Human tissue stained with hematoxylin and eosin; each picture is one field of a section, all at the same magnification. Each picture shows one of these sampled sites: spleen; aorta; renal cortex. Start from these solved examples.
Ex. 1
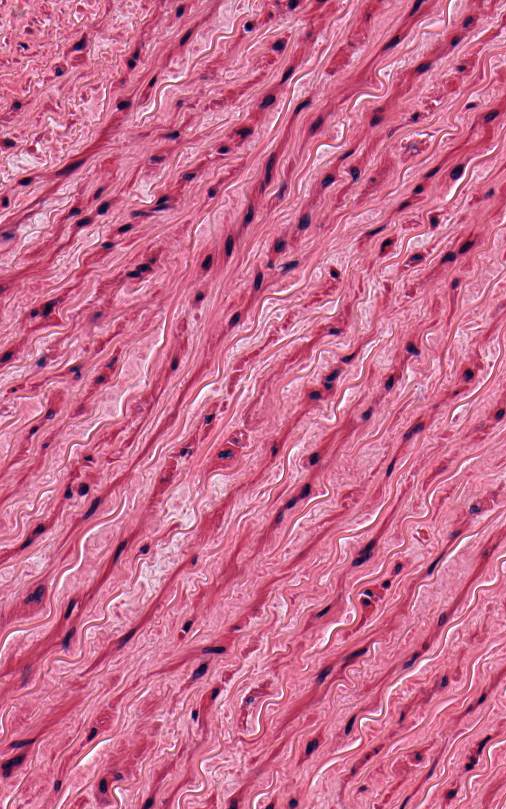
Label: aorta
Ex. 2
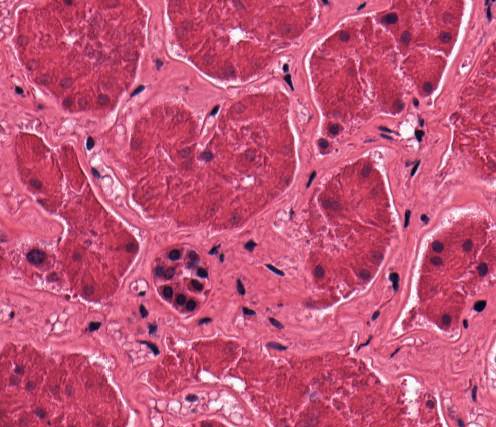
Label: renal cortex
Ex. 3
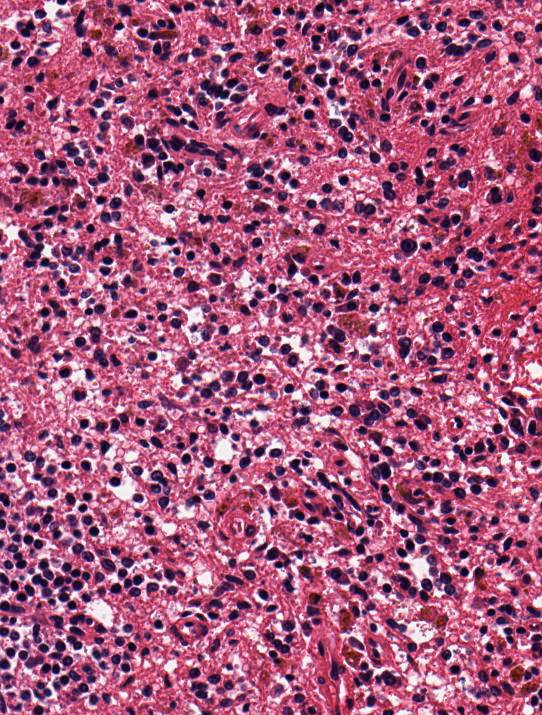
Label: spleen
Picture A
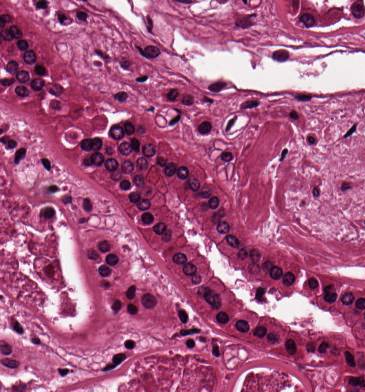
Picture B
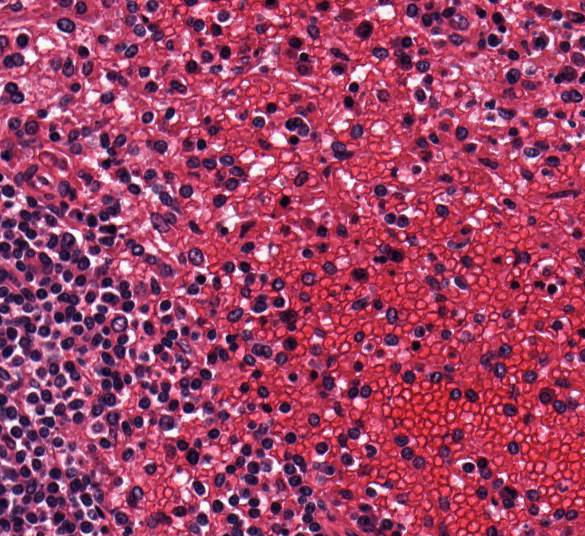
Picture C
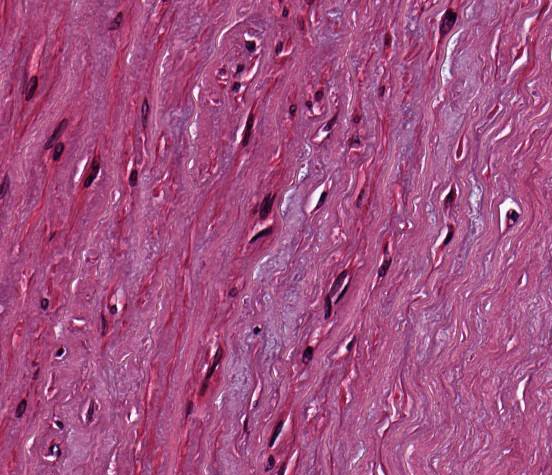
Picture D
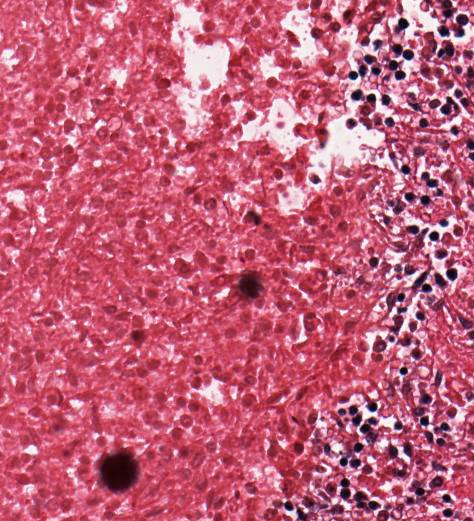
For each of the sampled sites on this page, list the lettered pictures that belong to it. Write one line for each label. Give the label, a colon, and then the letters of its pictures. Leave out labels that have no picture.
spleen: B, D
aorta: C
renal cortex: A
